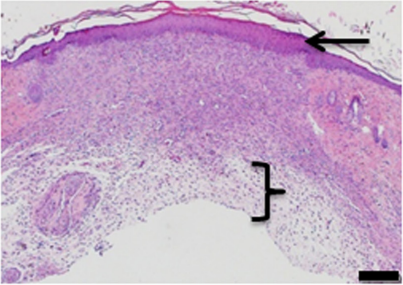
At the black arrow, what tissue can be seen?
Epidermis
